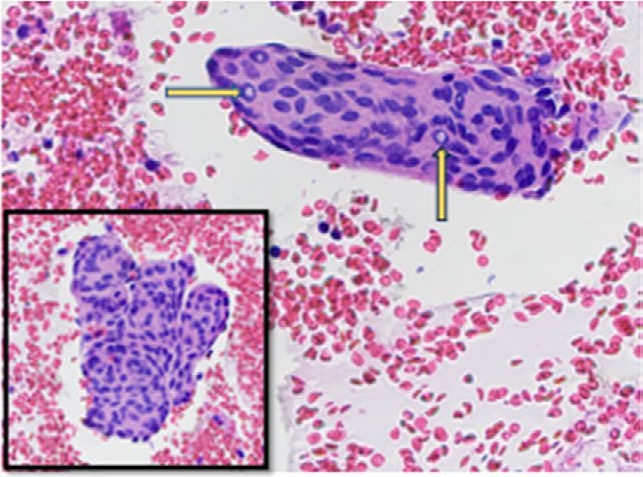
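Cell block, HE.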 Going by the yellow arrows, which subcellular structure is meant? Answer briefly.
intranuclear pseudoinclusions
